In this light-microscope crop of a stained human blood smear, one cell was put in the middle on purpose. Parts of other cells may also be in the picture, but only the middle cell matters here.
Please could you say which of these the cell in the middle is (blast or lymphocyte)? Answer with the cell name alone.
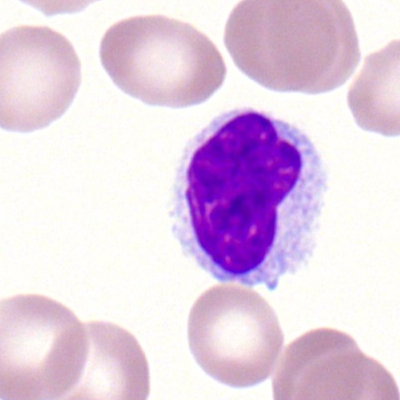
lymphocyte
